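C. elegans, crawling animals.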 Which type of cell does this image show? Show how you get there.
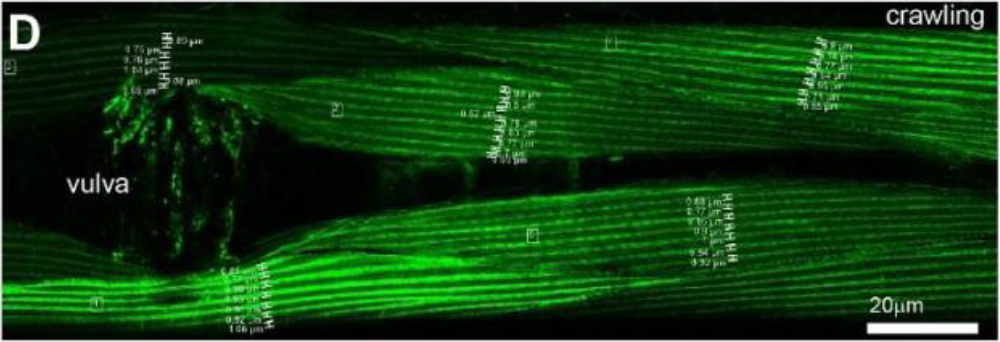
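Long spindle-shaped cells filled with parallel fluorescent striations. The cells taper at their ends and overlap neighbouring cells. That points to this answer: myocytes.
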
